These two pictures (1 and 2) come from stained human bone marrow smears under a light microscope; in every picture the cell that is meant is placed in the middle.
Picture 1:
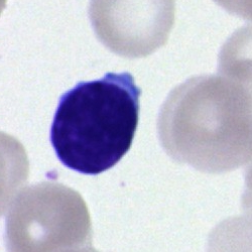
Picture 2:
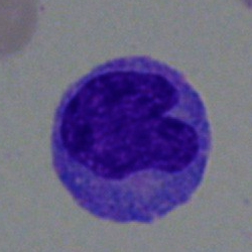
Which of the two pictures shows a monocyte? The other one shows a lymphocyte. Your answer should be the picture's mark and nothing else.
2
